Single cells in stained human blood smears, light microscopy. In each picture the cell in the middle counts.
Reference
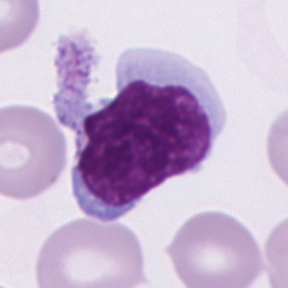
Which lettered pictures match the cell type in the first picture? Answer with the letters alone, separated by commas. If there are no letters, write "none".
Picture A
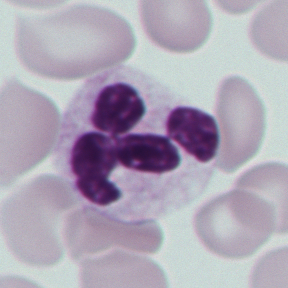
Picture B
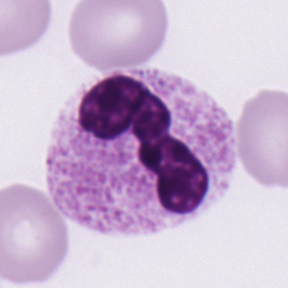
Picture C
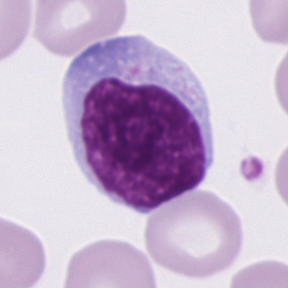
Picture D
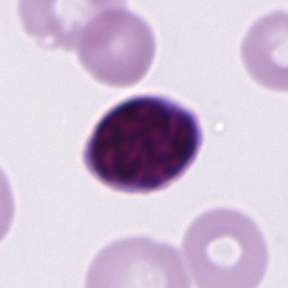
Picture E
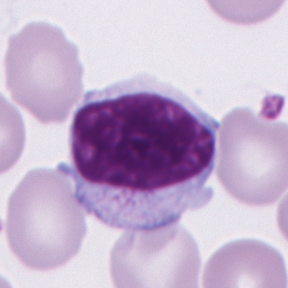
C, D, E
